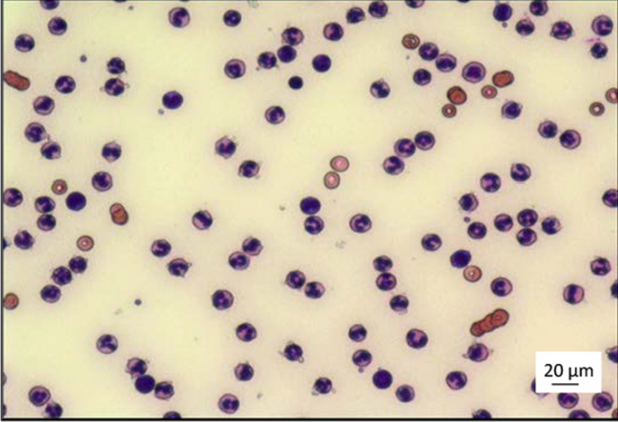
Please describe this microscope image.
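The pale background is dotted with separate round cells of similar size. Each has a purple nucleus, often lobed or segmented, set in a lighter, pinkish-violet cytoplasm. Only a few red cells remain, seen as smaller discs without nuclei, sometimes lying in short clumps.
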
